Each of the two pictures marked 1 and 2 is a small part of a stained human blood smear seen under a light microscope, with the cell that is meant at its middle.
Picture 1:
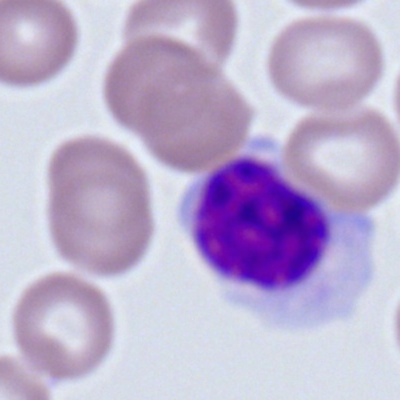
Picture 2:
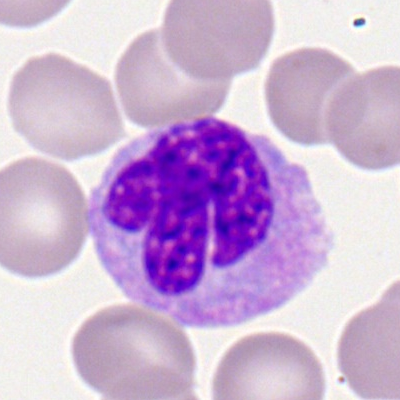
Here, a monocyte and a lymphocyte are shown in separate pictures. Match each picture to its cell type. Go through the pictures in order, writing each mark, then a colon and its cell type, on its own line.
1: lymphocyte
2: monocyte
